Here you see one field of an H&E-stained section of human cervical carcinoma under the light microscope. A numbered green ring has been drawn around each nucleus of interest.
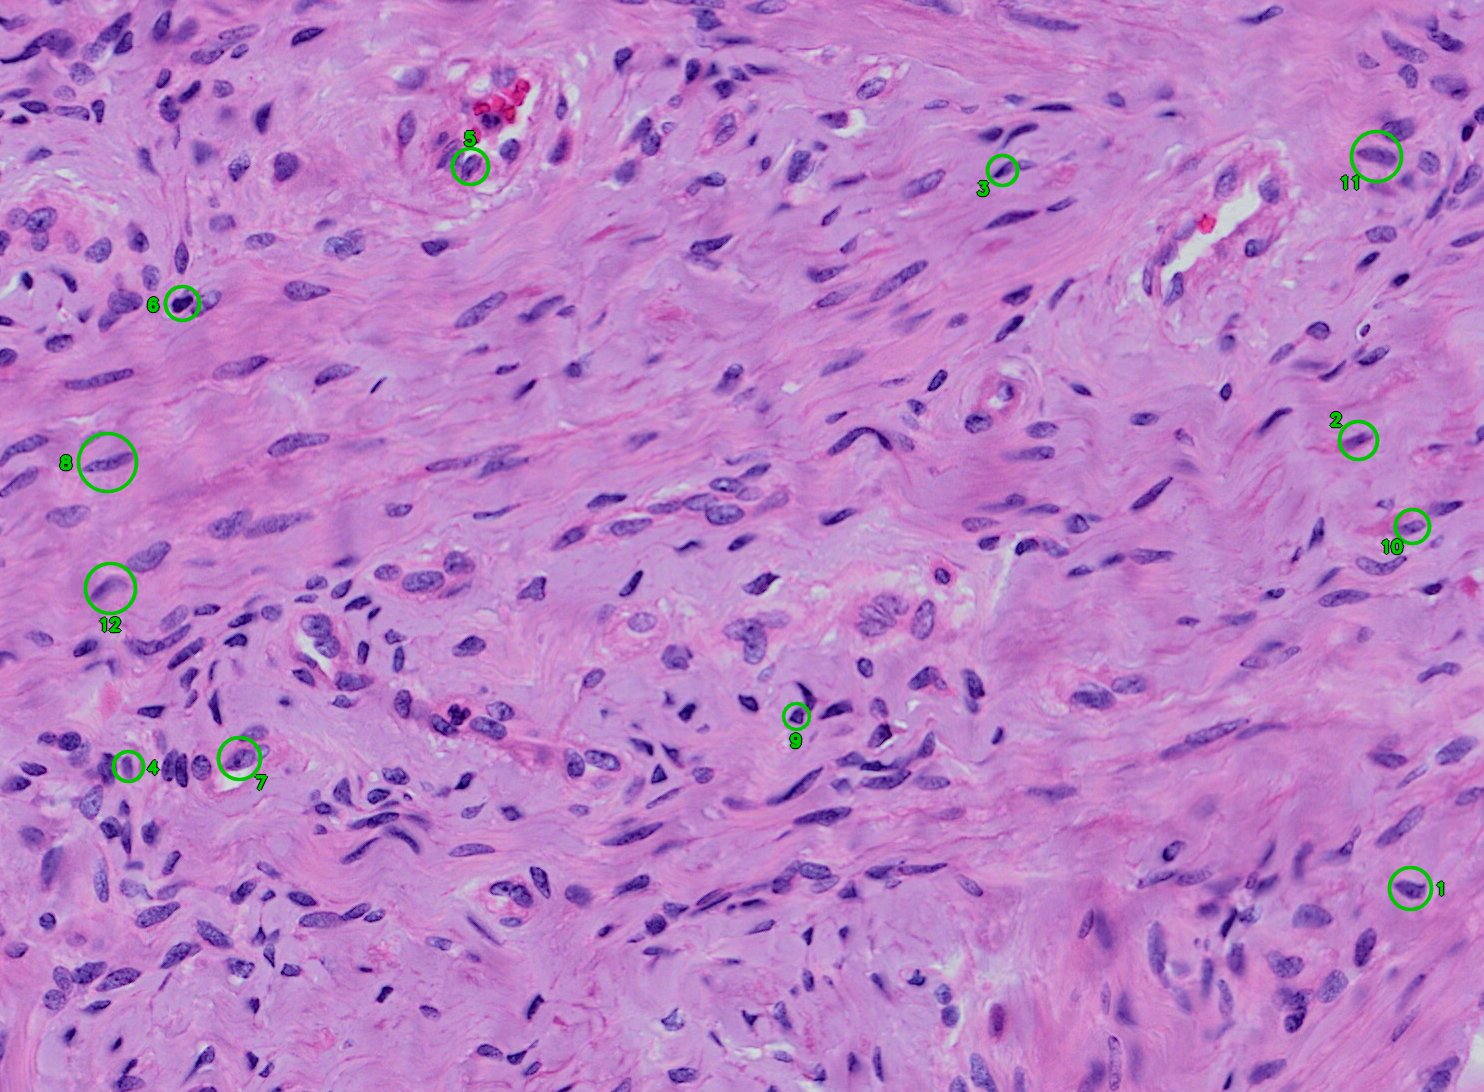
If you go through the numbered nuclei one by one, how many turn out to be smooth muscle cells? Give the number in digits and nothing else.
2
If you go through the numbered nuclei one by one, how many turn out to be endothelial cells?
2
